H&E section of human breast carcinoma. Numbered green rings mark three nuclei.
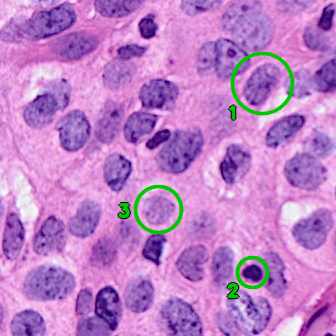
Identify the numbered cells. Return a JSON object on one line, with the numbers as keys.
{"1": "carcinoma cell", "2": "lymphocyte", "3": "carcinoma cell"}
